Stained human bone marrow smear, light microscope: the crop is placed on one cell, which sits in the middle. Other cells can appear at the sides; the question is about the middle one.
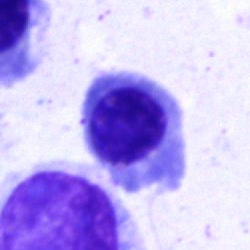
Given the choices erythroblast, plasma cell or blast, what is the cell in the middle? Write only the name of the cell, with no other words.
erythroblast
